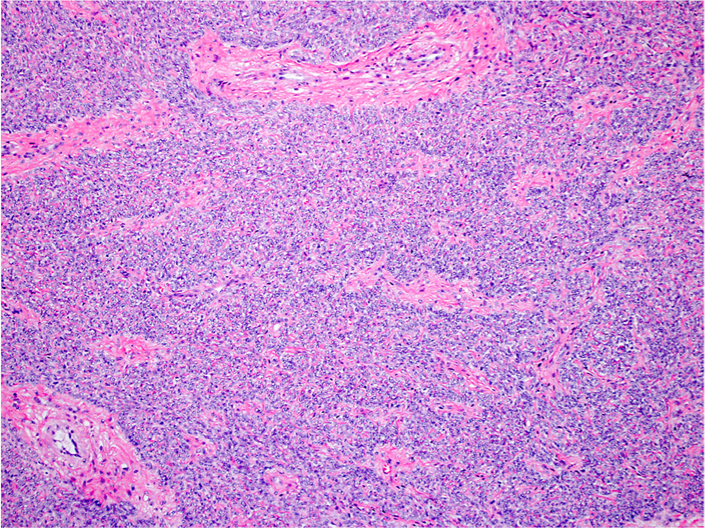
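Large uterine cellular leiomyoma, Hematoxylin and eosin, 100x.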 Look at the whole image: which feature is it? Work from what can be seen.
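Round vessels with thick pink walls sit among the densely cellular tumor, one at lower left.
Hence: thick-walled blood vessels.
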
